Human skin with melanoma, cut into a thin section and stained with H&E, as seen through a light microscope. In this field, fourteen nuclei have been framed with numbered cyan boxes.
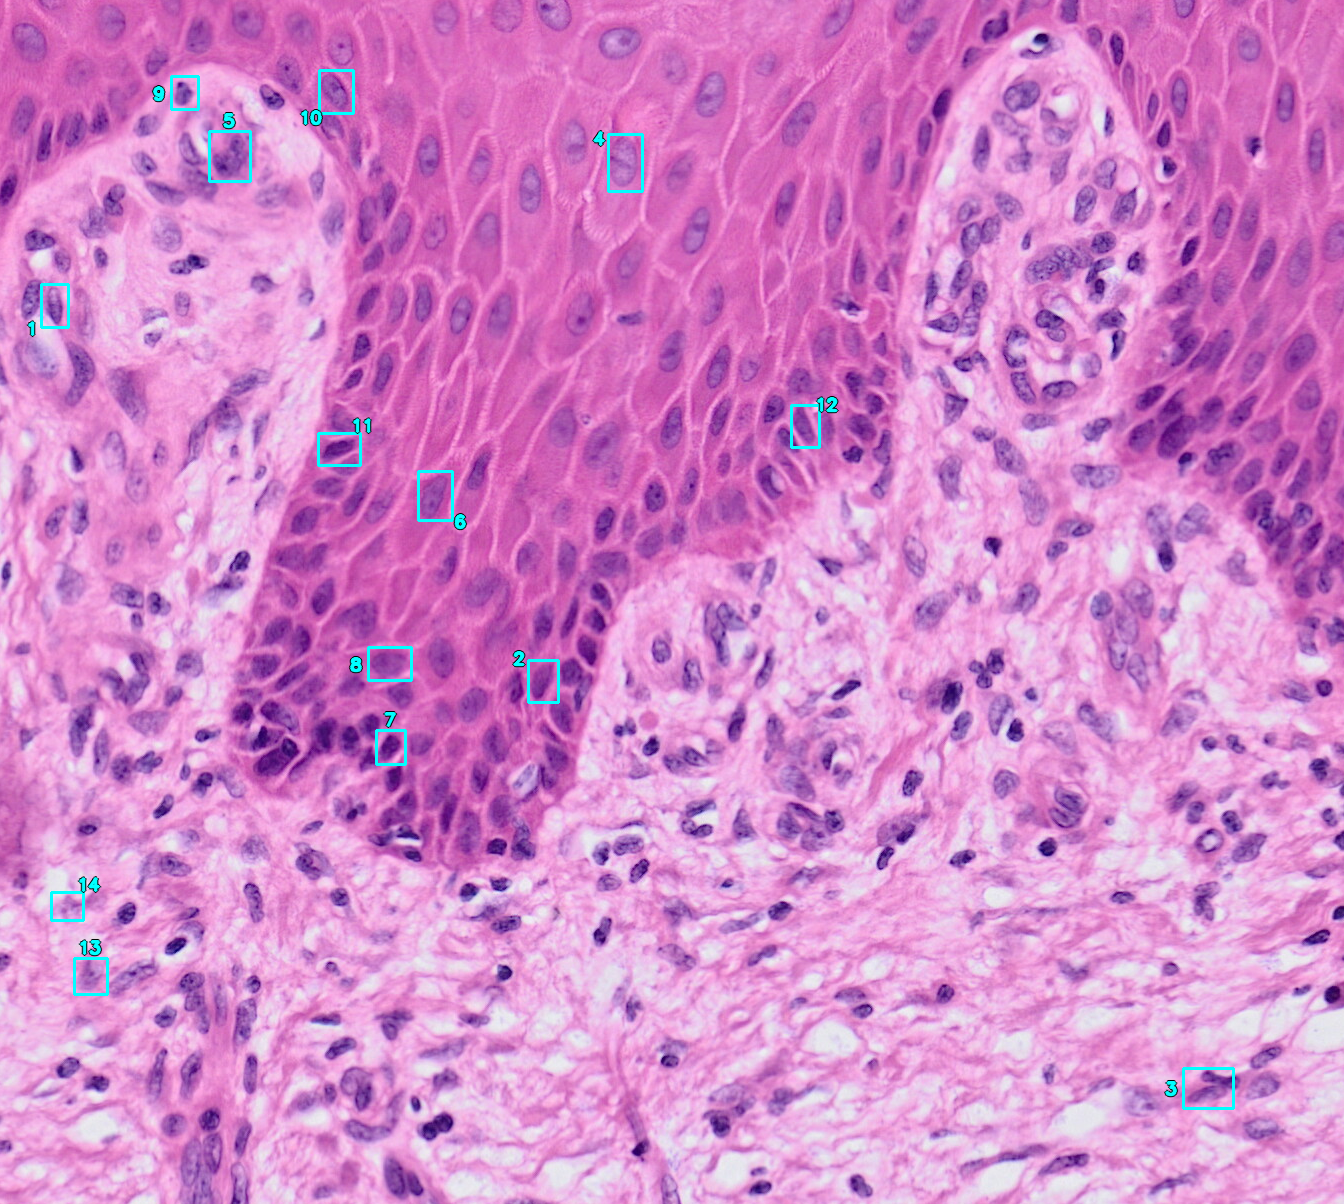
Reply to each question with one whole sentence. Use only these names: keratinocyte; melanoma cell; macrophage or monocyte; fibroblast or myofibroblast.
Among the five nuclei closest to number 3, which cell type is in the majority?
Most of the five nuclei nearest to number 3 are those of fibroblasts or myofibroblasts.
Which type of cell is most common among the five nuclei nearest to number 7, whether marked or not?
Keratinocytes account for more than half of the five nuclei nearest to number 7.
